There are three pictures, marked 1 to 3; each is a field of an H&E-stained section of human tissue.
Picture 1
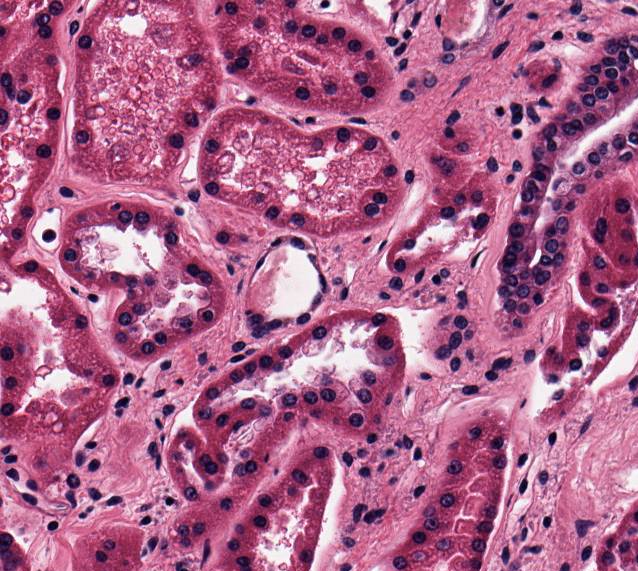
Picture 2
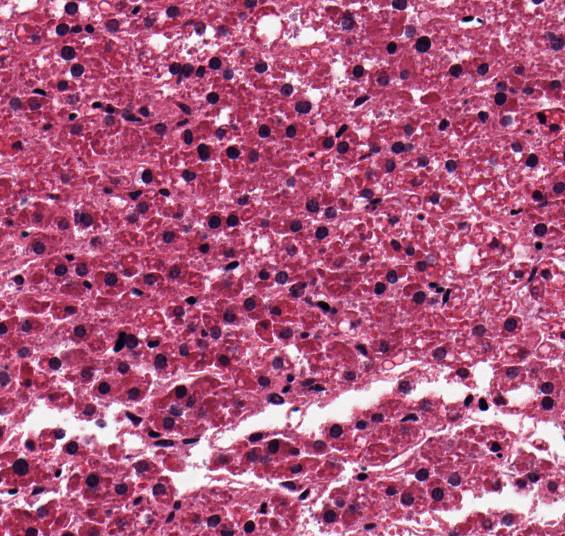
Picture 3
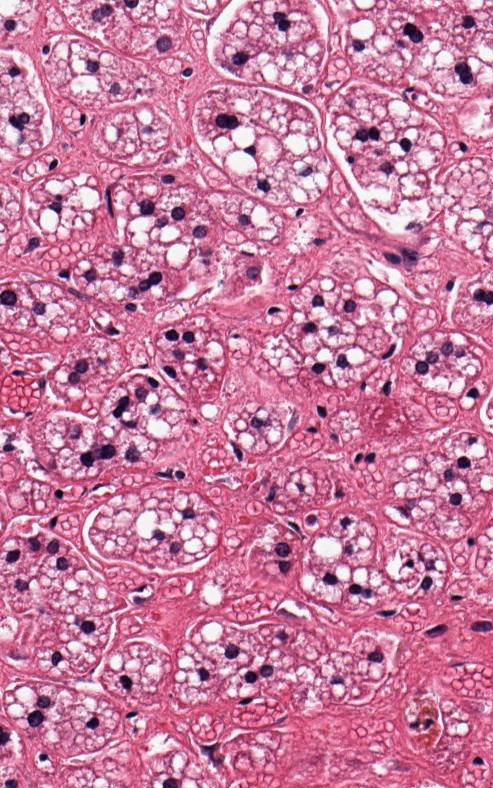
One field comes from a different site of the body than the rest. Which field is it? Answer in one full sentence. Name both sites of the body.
All pictures except 1 come from the adrenal gland; picture 1 comes from the renal cortex.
